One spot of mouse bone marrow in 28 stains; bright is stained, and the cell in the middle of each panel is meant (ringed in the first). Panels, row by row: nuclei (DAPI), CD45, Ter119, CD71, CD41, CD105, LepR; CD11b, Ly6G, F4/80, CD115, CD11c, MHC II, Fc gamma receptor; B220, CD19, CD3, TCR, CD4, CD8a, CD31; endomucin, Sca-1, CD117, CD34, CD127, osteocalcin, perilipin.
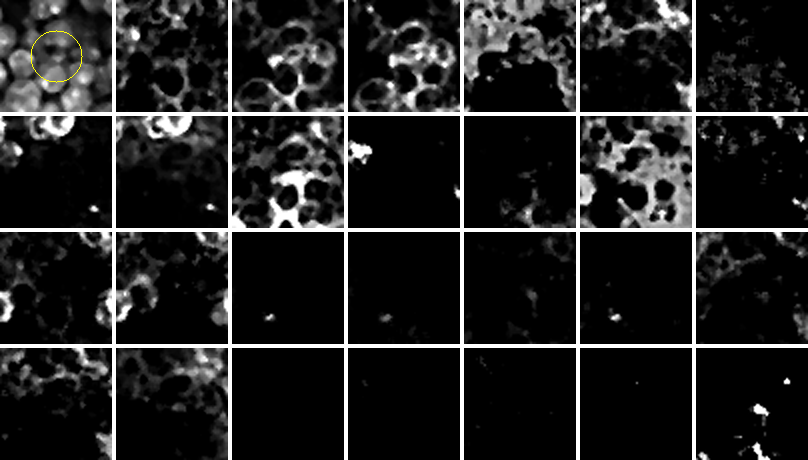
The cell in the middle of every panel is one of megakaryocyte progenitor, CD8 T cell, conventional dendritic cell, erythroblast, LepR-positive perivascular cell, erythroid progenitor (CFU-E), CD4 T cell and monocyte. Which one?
erythroblast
